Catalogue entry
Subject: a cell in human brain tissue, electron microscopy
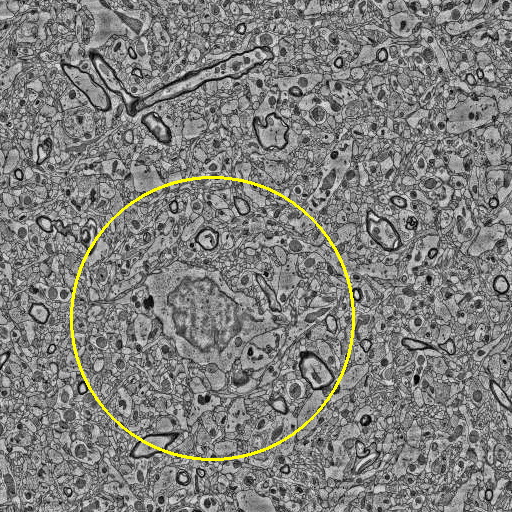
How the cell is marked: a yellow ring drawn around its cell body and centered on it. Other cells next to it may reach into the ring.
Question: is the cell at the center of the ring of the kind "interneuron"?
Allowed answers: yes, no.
yes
